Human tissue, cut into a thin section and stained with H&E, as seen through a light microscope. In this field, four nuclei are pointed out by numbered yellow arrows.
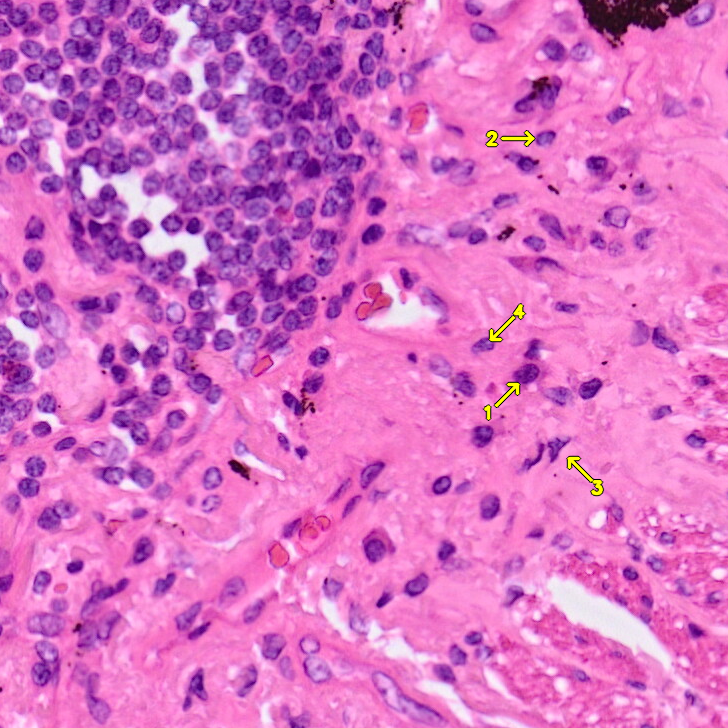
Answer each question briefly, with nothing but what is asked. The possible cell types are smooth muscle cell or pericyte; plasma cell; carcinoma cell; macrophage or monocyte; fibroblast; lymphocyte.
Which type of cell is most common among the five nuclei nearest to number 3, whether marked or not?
plasma cell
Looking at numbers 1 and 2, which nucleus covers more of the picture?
1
